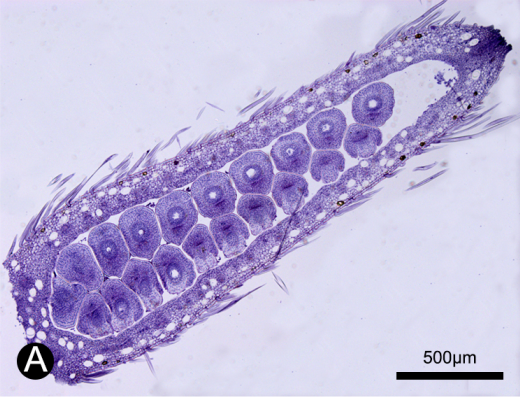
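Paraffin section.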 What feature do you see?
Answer: Biseriate ovule arrangement.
